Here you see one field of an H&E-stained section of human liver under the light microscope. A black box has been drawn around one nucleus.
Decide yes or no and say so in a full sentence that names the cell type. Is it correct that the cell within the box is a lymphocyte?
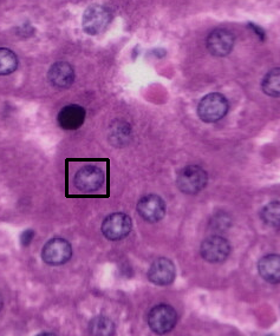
No, the cell within the box is a hepatocyte; calling it a lymphocyte would be wrong.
